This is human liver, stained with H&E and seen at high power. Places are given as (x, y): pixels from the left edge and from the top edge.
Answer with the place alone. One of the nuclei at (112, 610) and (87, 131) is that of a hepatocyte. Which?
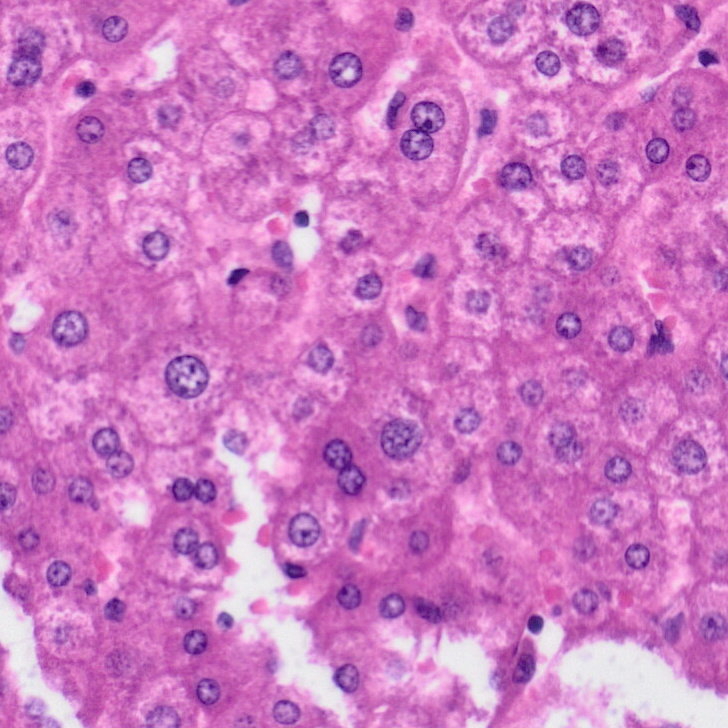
(87, 131)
